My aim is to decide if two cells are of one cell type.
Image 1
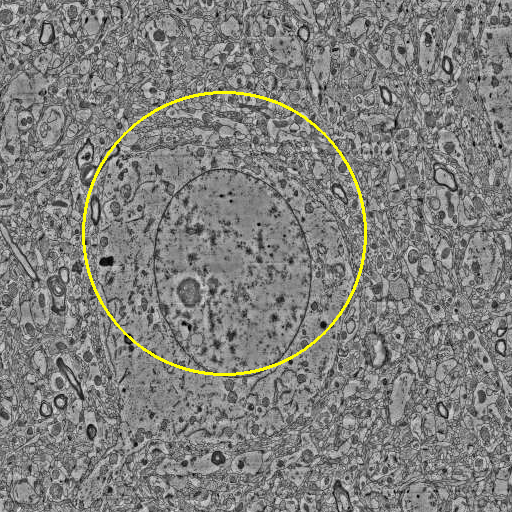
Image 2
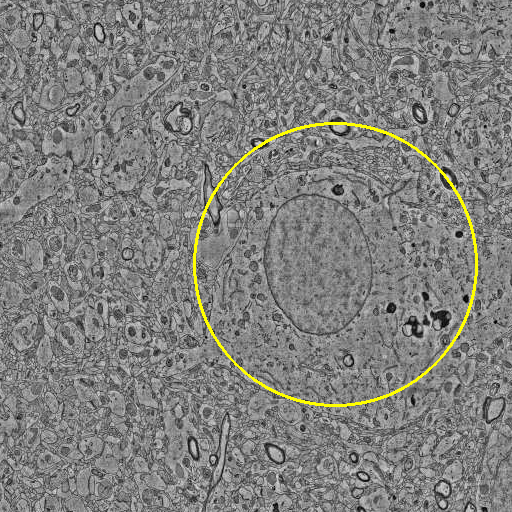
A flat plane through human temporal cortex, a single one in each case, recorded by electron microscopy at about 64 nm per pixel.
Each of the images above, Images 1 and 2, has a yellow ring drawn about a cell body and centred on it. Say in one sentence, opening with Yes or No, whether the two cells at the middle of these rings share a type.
Yes, in Images 1 and 2 the cells at the middle of the rings share one type.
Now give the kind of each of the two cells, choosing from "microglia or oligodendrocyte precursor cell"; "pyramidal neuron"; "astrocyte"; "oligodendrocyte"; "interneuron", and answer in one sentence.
Each cell at the centre of a ring is a pyramidal neuron.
